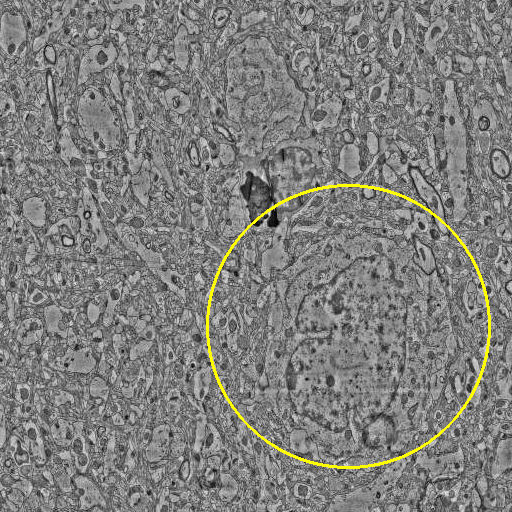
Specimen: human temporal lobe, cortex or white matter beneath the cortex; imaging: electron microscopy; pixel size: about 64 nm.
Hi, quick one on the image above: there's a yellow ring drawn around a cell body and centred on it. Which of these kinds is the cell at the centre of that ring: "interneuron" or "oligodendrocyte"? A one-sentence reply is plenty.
The cell at the centre of the ring is an interneuron.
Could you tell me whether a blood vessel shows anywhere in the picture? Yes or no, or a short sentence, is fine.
No, no vessel shows anywhere in the image.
